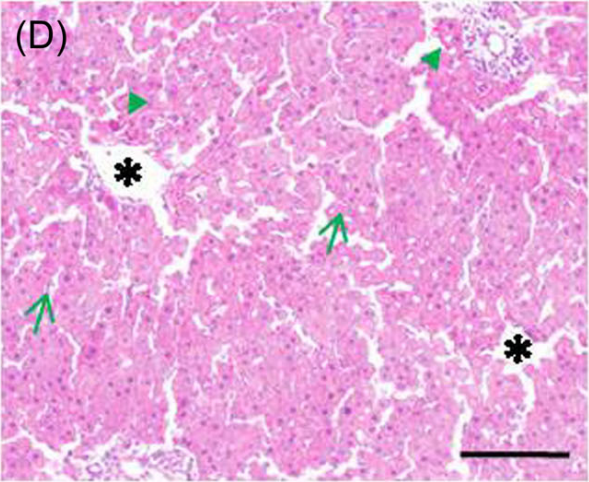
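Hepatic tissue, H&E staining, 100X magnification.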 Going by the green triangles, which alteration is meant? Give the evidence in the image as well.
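The triangles point to areas near clefts in the liver tissue. A cluster of small dark nuclei lies at the upper right of the panel. The answer: inflammatory cell infiltration.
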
